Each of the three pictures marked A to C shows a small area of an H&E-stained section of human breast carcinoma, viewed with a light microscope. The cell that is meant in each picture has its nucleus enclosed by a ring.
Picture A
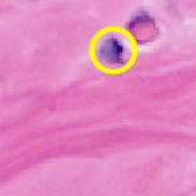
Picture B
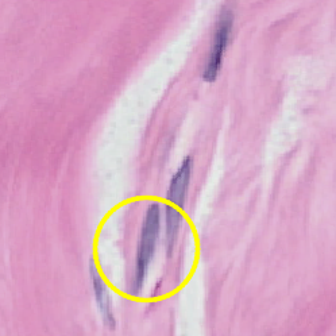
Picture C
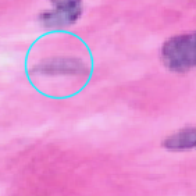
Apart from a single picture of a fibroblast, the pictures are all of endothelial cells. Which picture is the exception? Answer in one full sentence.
Picture C shows the fibroblast.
